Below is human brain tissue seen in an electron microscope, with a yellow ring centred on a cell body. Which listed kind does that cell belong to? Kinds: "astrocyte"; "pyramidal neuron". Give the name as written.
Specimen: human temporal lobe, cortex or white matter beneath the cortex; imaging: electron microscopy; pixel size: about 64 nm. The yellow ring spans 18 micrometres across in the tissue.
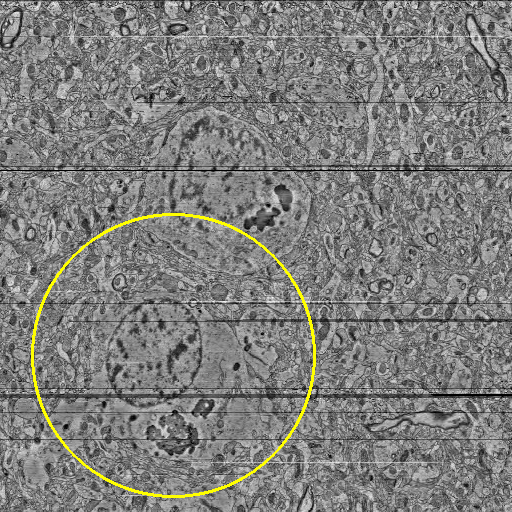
astrocyte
